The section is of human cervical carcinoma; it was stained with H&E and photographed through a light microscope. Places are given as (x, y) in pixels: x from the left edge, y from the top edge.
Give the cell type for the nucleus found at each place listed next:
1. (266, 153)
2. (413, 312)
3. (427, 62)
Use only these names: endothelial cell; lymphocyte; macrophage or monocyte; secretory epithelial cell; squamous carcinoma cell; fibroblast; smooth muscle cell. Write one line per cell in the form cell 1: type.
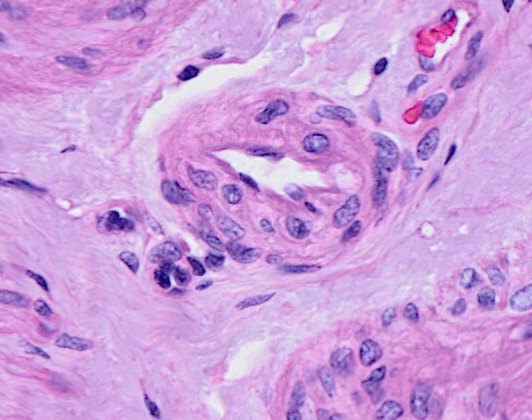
cell 1: endothelial cell
cell 2: smooth muscle cell
cell 3: endothelial cell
